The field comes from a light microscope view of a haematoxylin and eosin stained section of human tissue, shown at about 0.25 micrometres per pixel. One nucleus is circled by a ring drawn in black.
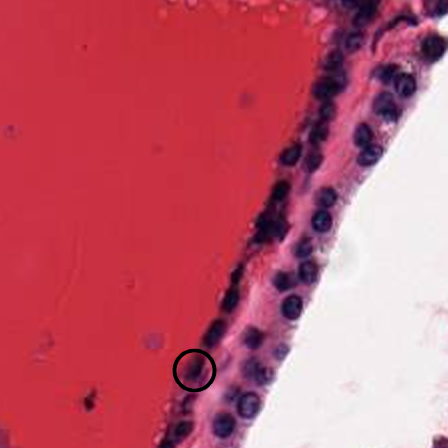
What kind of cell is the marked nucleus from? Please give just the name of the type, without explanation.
thyroid follicular cell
